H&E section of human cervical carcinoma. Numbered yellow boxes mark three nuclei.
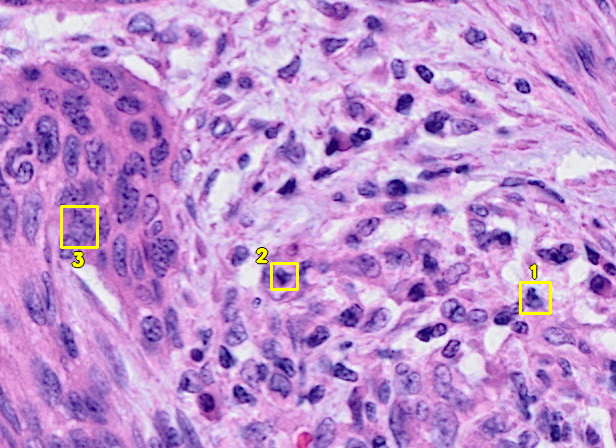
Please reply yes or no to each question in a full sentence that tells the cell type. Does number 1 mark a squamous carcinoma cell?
No, the cell denoted 1 is a lymphocyte rather than a squamous carcinoma cell.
